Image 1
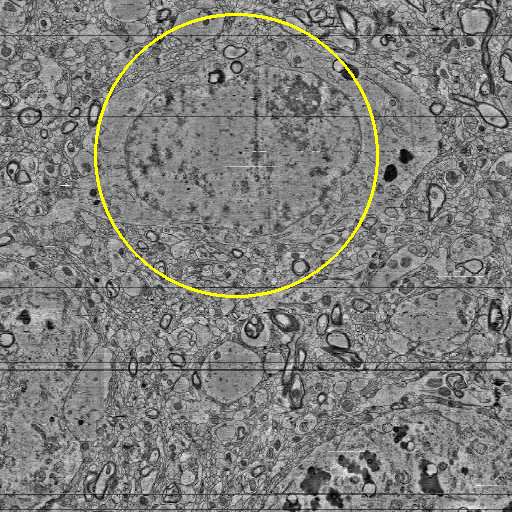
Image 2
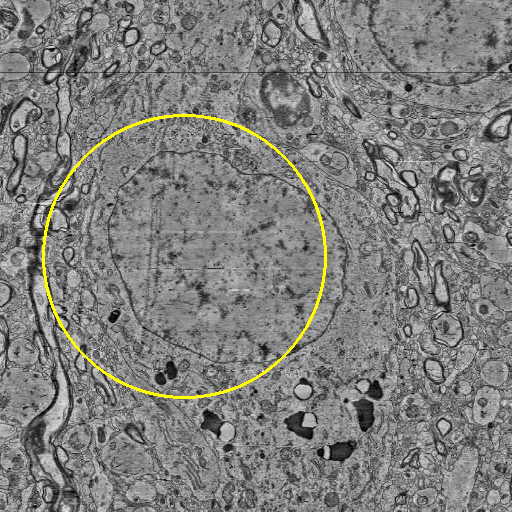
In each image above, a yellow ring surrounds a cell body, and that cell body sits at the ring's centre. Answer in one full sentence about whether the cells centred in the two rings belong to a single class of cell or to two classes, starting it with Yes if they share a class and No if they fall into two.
No, the cells centred in the two yellow rings belong to two classes of cell.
